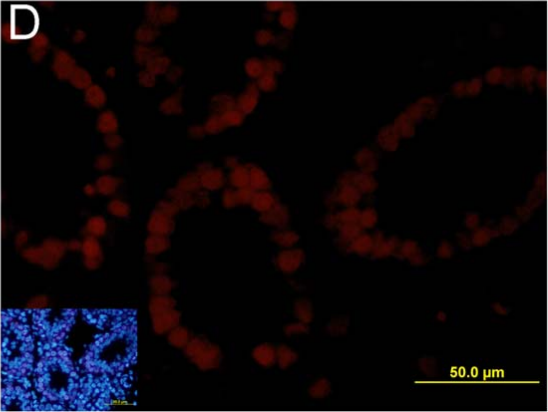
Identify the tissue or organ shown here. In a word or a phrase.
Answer: Testis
